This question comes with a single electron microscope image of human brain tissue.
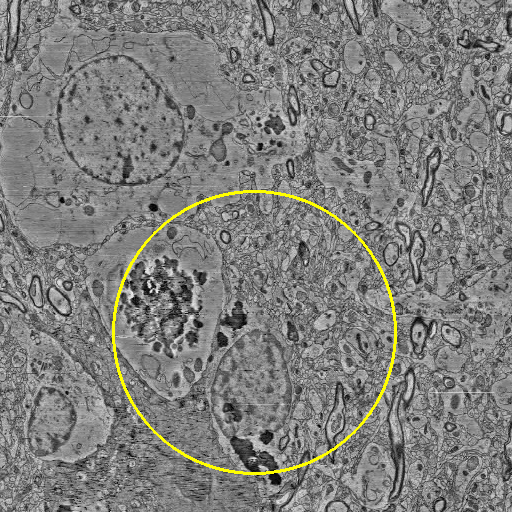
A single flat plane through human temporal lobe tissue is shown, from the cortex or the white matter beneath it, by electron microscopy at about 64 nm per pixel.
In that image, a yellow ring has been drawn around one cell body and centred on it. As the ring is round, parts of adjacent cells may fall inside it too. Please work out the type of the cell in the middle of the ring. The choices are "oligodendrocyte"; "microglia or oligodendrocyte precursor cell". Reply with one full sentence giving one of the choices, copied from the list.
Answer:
Of the choices, an oligodendrocyte is the cell sitting in the middle of the ring.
